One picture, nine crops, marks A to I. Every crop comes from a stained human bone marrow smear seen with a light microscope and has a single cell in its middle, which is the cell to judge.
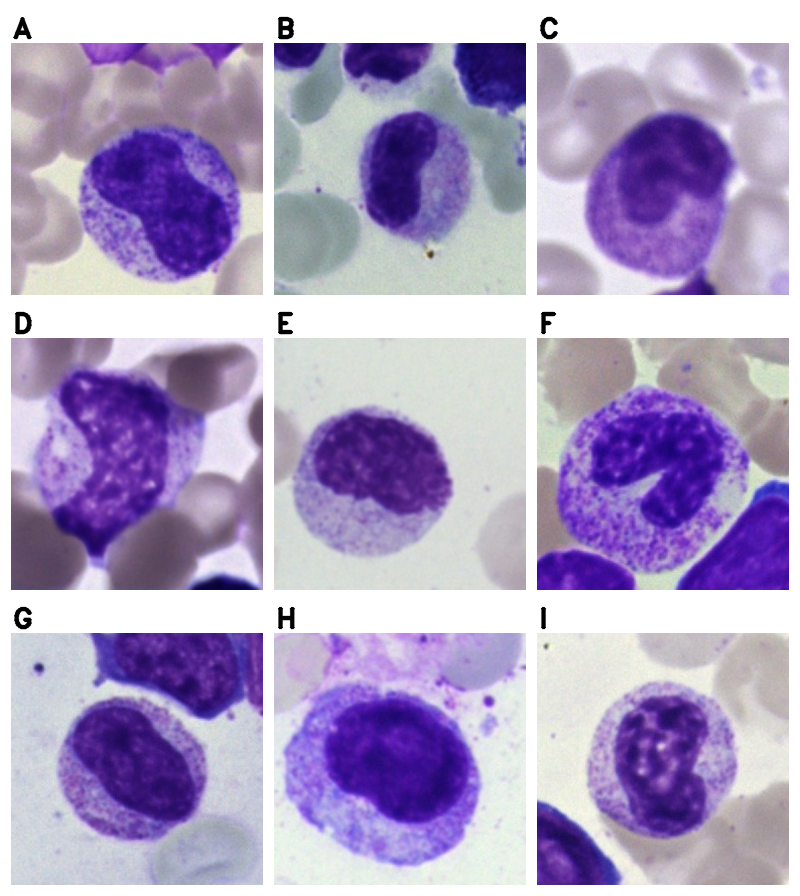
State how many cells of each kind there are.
metamyelocyte: 7
band neutrophil: 2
